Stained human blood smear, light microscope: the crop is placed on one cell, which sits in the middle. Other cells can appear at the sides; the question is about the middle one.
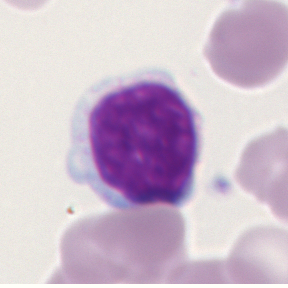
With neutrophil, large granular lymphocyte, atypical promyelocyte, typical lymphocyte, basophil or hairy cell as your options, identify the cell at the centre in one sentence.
The centrally located cell in the crop is a large granular lymphocyte.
